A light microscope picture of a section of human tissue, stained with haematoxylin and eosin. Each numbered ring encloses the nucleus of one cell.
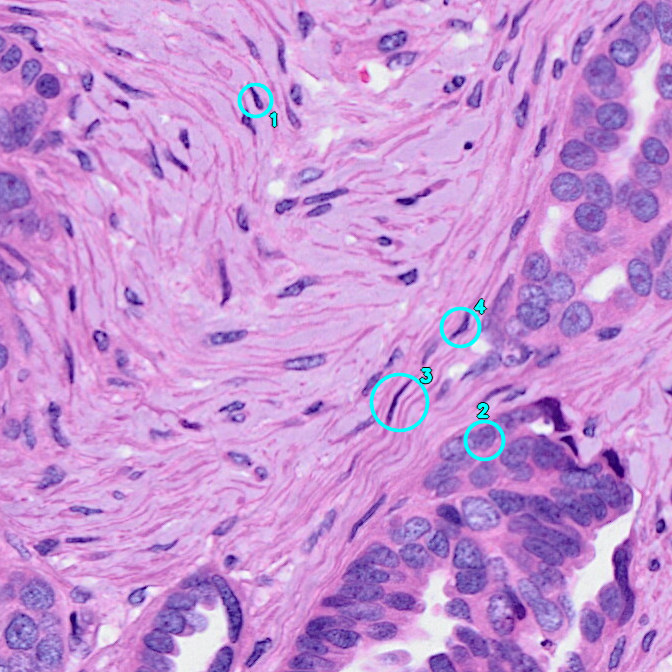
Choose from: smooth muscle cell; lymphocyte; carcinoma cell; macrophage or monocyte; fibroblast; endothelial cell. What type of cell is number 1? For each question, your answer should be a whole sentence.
The numbered cell 1 in this field is a fibroblast.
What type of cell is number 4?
In the marked set, the cell given number 4 is a fibroblast.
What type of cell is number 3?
Cell number 3 in this section is a fibroblast.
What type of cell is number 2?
The cell pointed out by number 2 is a carcinoma cell.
